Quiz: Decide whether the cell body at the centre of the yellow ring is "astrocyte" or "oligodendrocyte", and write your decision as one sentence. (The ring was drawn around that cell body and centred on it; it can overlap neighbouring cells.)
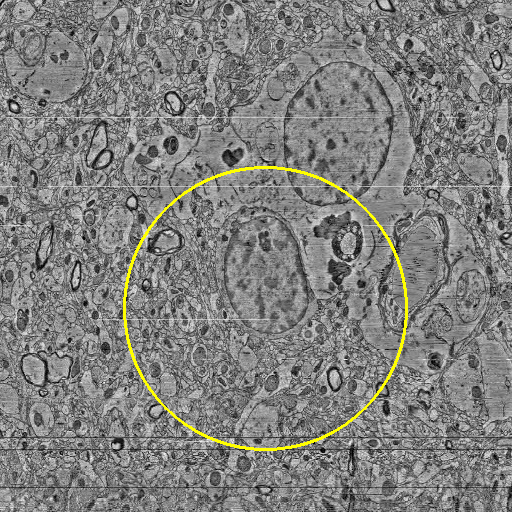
The cell the ring is centred on is an oligodendrocyte.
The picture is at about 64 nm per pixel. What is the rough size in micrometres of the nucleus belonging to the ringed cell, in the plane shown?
Roughly 8 by 5 micrometres is the size of the nucleus in this plane.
